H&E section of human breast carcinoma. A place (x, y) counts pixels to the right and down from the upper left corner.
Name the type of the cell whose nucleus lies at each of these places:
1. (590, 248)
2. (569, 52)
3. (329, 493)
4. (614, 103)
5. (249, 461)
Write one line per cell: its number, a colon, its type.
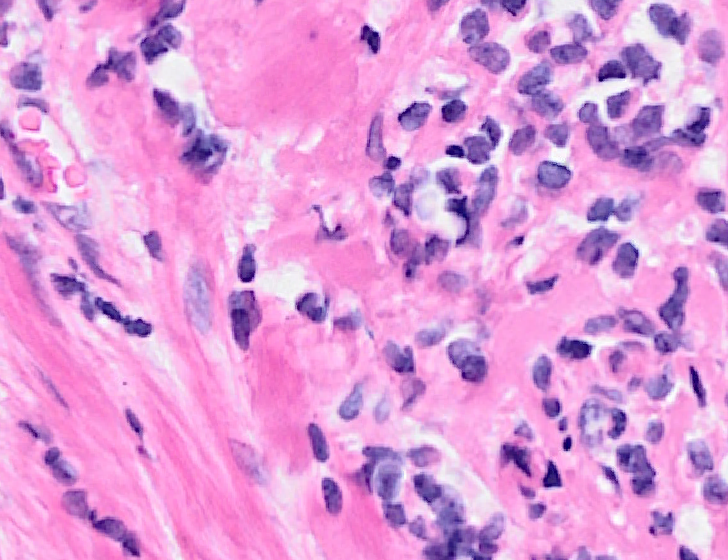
1: carcinoma cell
2: carcinoma cell
3: lymphocyte
4: carcinoma cell
5: fibroblast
